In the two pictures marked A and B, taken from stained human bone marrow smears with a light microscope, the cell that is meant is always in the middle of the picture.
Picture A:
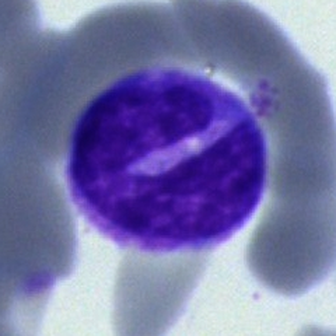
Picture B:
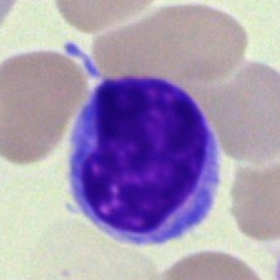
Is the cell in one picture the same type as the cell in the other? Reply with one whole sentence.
No, the types are not the same, since picture A shows a monocyte and picture B a lymphocyte.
